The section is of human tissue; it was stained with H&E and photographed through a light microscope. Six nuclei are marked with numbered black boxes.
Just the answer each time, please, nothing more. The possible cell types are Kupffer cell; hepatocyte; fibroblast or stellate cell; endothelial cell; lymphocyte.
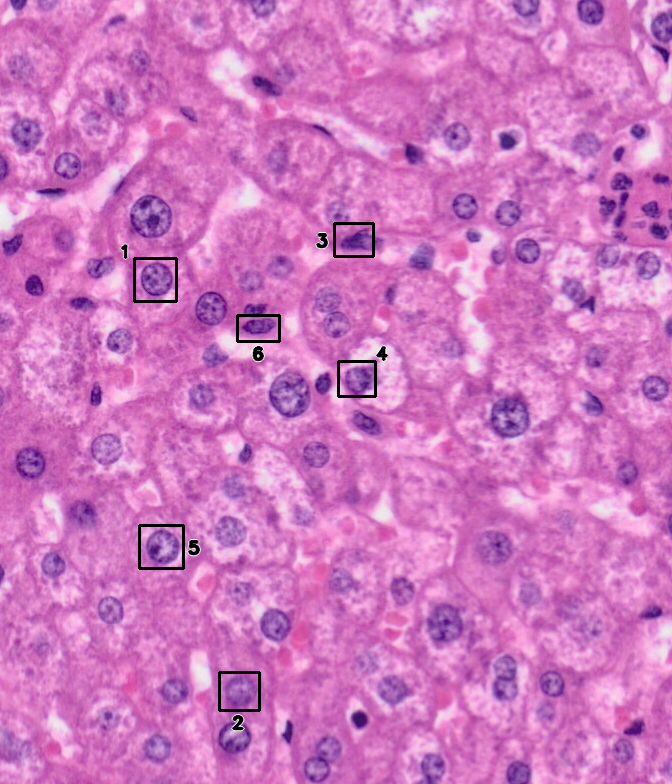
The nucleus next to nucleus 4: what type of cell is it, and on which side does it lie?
a lymphocyte; to the left of nucleus 4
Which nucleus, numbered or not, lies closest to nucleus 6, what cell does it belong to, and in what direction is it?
a fibroblast or stellate cell; above nucleus 6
